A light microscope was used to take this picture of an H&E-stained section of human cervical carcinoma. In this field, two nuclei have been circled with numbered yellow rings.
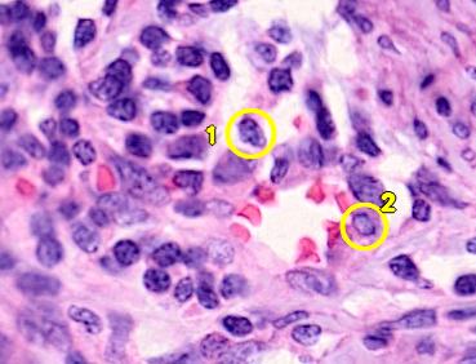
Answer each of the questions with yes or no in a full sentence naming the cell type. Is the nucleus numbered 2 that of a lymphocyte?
No, the cell given number 2 is an endothelial cell, as opposed to a lymphocyte.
